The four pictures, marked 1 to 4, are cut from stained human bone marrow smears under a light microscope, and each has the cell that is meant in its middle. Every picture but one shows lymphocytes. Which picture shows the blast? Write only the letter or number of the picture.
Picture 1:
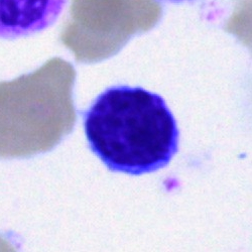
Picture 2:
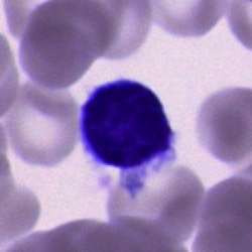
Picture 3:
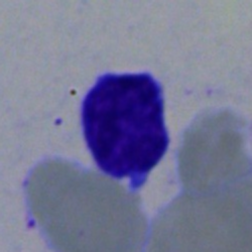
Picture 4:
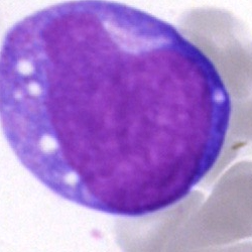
4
